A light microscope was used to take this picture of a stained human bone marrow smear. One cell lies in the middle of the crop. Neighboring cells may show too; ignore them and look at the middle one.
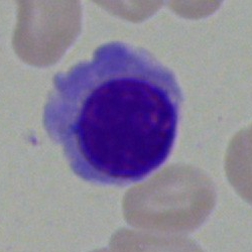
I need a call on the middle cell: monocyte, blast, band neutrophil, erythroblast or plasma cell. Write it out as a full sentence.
The cell that lies at the centre of the crop is an erythroblast.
